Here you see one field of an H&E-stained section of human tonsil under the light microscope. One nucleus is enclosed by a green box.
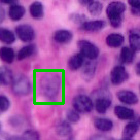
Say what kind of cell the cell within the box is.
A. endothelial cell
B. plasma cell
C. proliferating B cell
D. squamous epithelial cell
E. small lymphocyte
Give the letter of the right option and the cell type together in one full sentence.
It is as option A has it, the cell within the box being an endothelial cell.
